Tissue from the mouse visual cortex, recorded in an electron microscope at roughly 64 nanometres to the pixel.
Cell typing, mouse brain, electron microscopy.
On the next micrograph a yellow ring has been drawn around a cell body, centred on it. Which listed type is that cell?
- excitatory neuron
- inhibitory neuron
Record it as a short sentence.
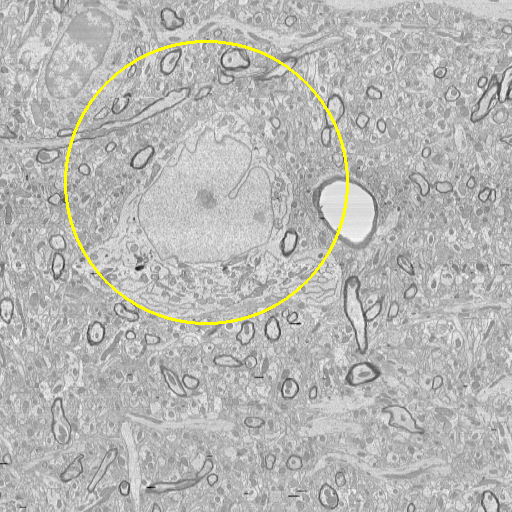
The cell body in the ring's centre belongs to an inhibitory neuron.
